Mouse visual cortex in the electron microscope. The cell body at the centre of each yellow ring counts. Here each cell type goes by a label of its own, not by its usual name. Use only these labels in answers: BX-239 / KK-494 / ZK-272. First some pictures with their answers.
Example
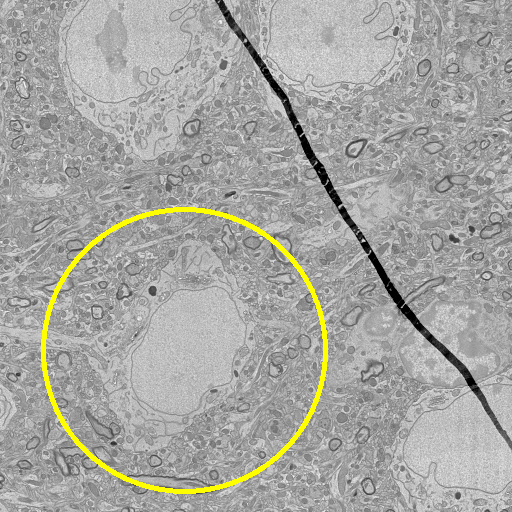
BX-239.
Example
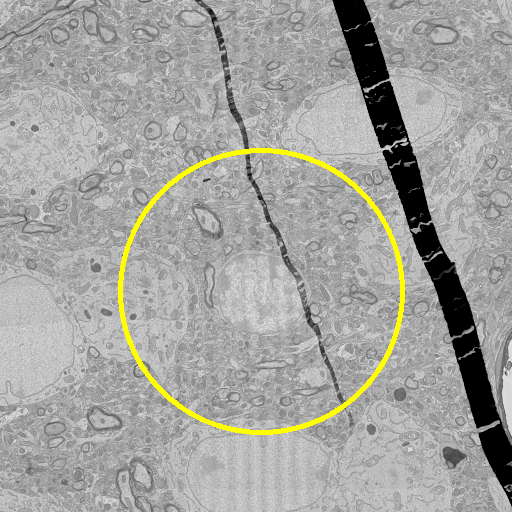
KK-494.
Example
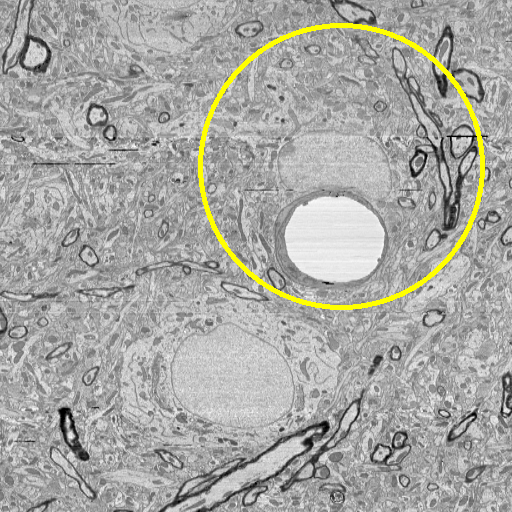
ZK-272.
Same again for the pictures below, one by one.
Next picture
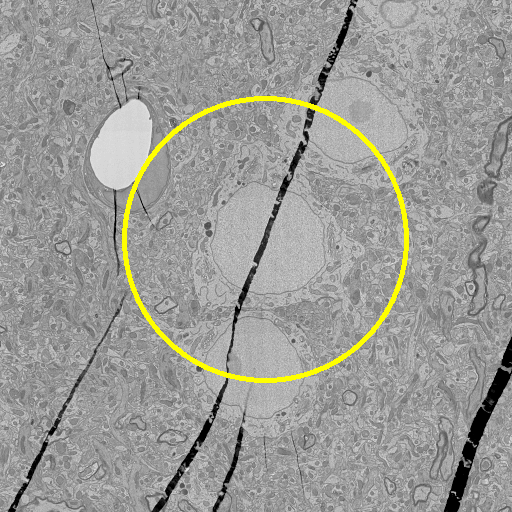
BX-239.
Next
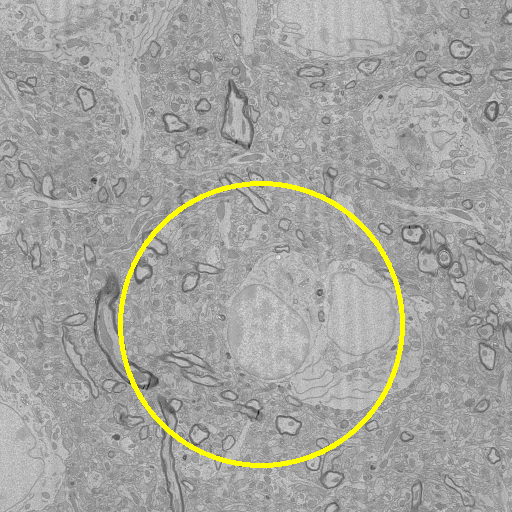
KK-494.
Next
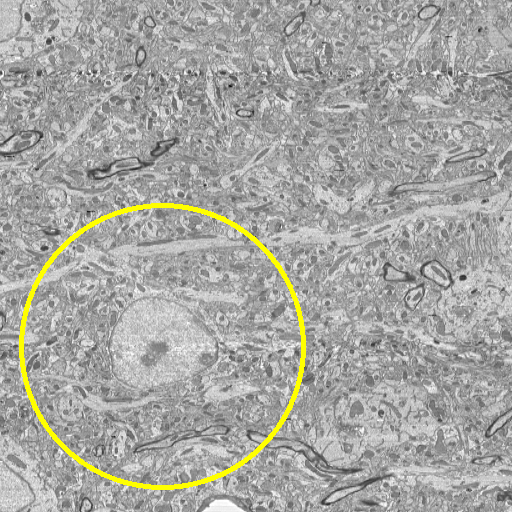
ZK-272.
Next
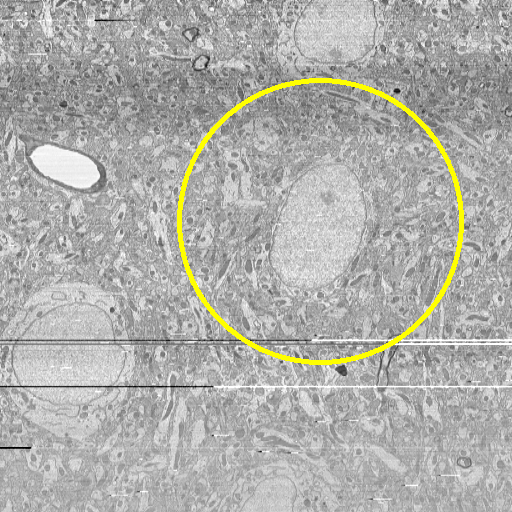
ZK-272.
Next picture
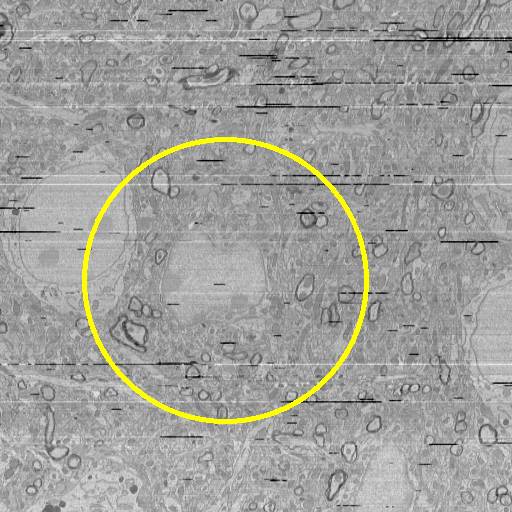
ZK-272.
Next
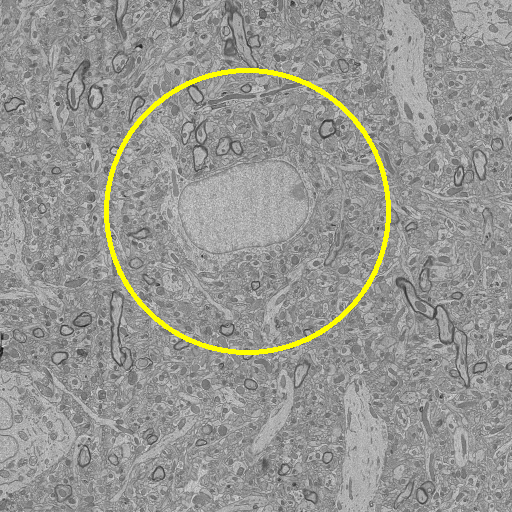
ZK-272.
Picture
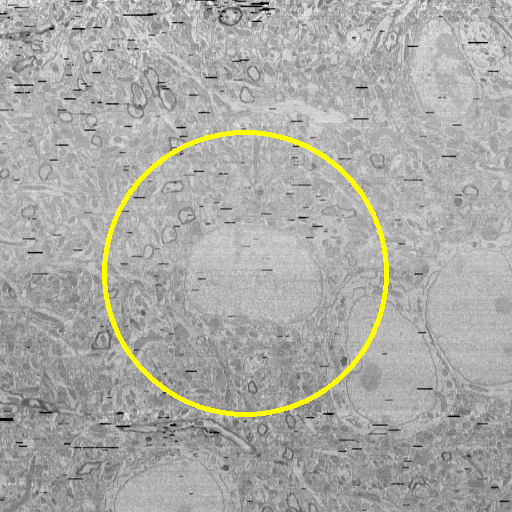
ZK-272.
